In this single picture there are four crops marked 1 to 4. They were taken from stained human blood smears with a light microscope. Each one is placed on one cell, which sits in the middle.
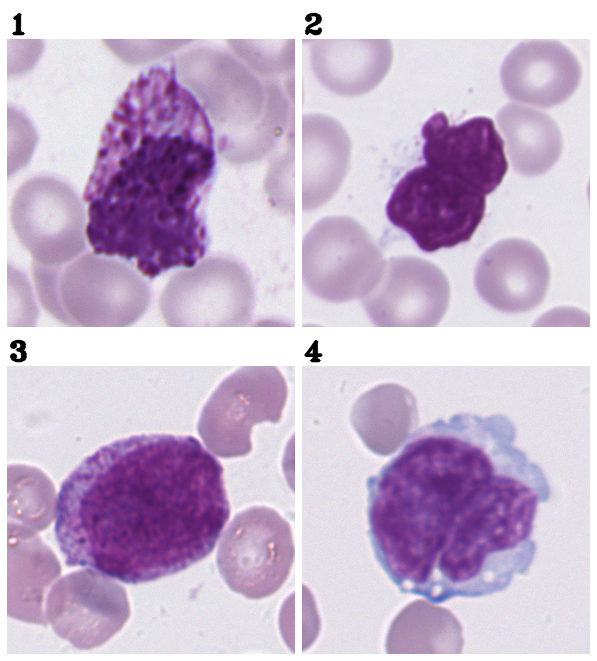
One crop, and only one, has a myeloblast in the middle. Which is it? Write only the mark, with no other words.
4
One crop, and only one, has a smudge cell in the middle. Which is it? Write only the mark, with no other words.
2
